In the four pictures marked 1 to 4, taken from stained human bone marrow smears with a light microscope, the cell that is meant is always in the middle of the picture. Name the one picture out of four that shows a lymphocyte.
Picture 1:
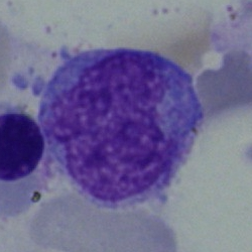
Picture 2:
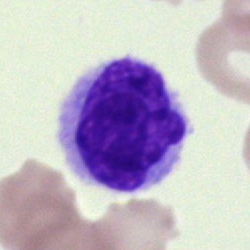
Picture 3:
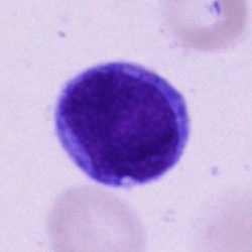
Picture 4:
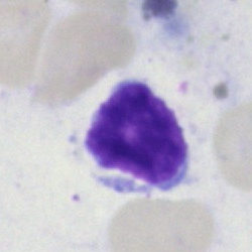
4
